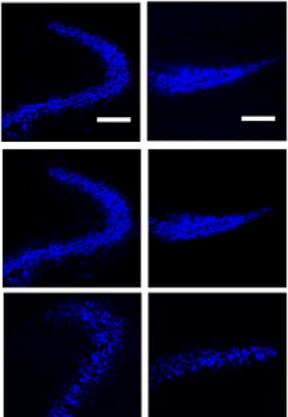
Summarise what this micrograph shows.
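Fluorescence images of hippocampal regions on a black background, showing curved bands of blue fluorescence that follow the cell layers. In the upper rows the blue bands are bright and continuous.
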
